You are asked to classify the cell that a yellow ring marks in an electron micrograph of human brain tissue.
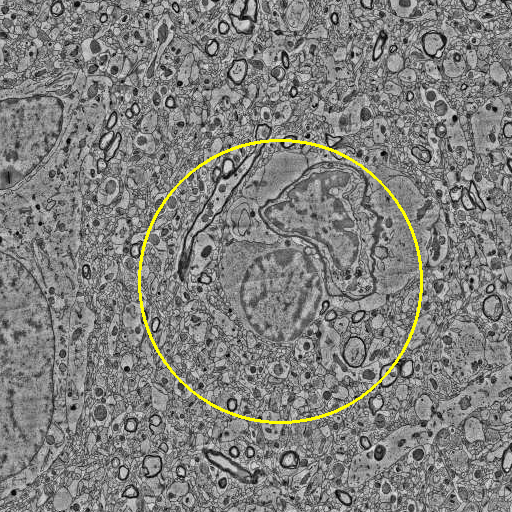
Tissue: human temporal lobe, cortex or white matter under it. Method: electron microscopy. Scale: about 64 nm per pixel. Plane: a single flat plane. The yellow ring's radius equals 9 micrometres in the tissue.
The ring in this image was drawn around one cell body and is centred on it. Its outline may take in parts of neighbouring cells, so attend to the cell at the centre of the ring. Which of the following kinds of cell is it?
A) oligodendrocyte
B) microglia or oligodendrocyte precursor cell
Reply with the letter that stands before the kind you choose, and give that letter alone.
A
